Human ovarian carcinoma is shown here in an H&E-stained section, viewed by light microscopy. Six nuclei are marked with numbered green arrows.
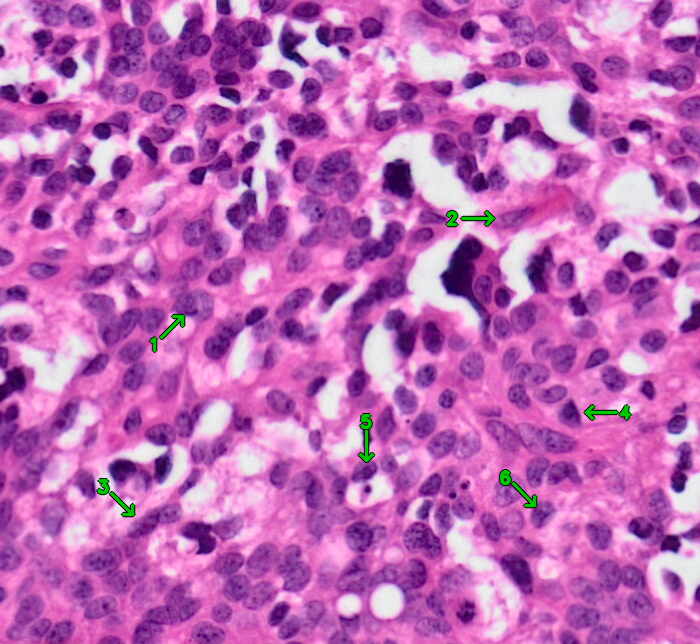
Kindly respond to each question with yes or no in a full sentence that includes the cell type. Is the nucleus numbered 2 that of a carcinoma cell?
No, the cell indicated by 2 is an endothelial cell instead of a carcinoma cell.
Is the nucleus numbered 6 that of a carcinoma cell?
Yes, the cell with the mark numbered 6 is a carcinoma cell.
